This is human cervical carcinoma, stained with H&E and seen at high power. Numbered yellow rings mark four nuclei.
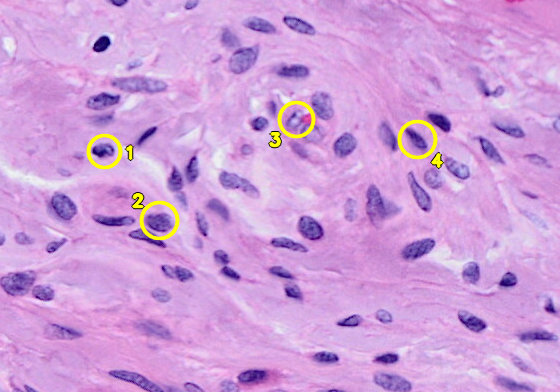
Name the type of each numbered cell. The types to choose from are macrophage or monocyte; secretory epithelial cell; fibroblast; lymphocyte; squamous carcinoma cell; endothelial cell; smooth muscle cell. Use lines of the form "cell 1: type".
cell 1: lymphocyte
cell 2: fibroblast
cell 3: endothelial cell
cell 4: fibroblast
